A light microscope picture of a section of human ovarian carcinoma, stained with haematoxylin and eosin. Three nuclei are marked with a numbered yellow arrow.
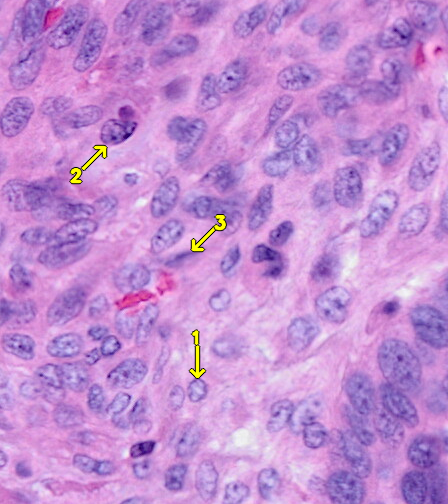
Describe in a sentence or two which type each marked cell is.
Cell 1 is a fibroblast, cell 2 is a macrophage or monocyte and cell 3 is an endothelial cell.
